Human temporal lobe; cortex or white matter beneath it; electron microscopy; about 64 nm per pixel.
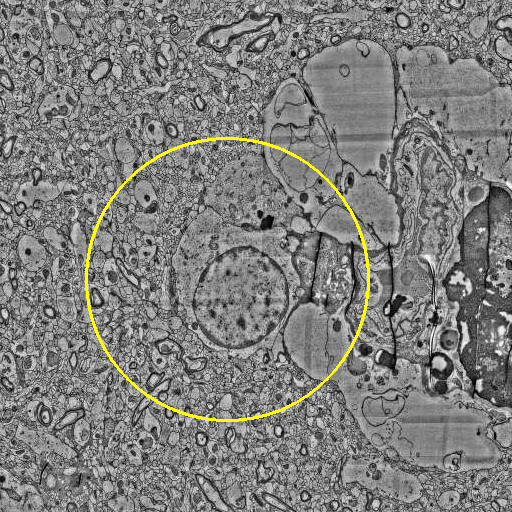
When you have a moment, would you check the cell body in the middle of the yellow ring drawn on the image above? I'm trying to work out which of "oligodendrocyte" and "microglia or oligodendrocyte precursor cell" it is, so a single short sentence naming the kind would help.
This cell body belongs to a microglial cell or oligodendrocyte precursor cell.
